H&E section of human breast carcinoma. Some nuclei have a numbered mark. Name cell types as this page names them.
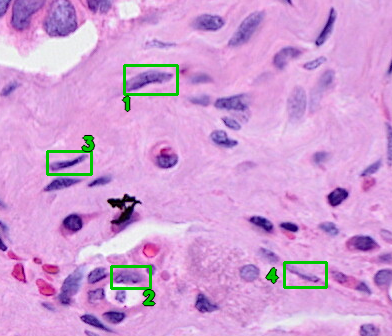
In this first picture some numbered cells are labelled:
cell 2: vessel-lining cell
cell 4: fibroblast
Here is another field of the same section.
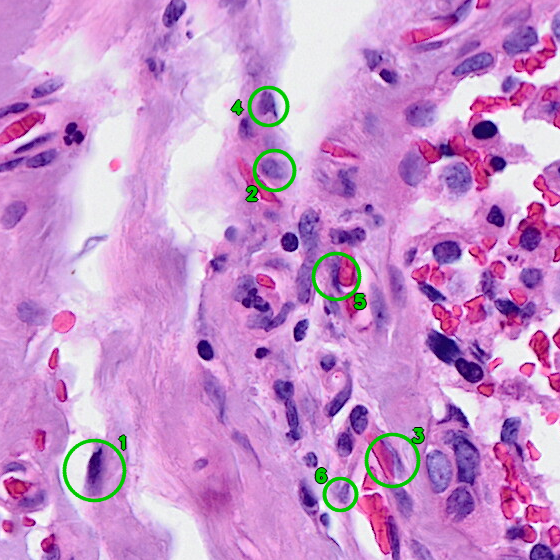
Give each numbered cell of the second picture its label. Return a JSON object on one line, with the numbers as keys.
{"1": "fibroblast", "2": "vessel-lining cell", "3": "vessel-lining cell", "4": "fibroblast", "5": "vessel-lining cell", "6": "vessel-lining cell"}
